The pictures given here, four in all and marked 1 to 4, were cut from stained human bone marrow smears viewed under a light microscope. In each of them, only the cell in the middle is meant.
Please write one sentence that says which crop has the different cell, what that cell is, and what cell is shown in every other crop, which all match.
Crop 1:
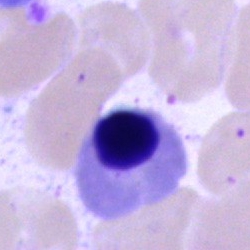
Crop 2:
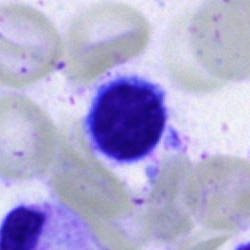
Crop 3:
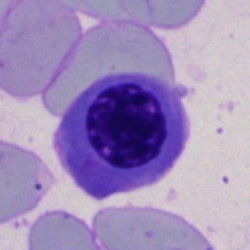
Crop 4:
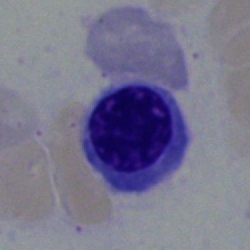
Of all the crops, only crop 2 shows a lymphocyte; the others show erythroblasts.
